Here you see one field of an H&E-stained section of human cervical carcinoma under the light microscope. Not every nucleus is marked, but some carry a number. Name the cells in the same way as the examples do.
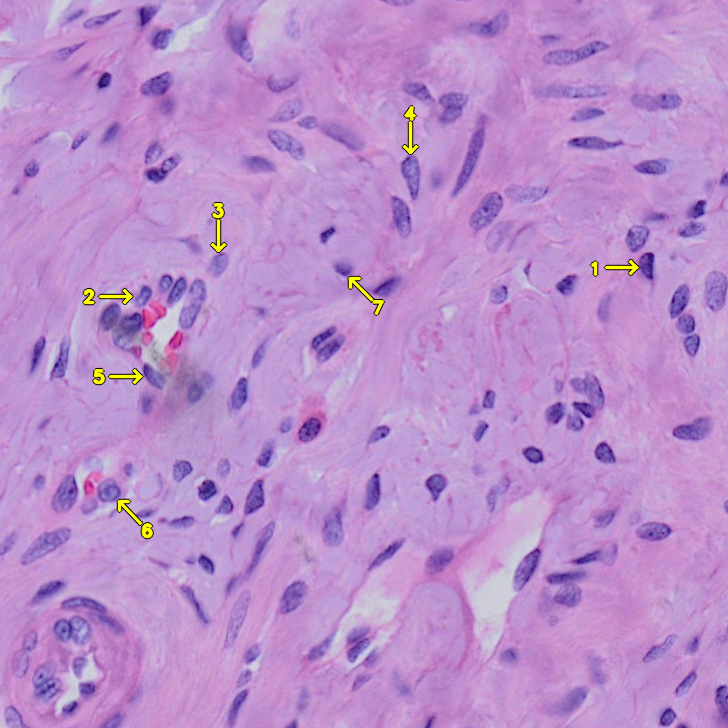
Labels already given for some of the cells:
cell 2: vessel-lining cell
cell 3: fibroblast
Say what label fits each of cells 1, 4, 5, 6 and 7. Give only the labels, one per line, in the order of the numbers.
fibroblast
fibroblast
vessel-lining cell
vessel-lining cell
fibroblast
